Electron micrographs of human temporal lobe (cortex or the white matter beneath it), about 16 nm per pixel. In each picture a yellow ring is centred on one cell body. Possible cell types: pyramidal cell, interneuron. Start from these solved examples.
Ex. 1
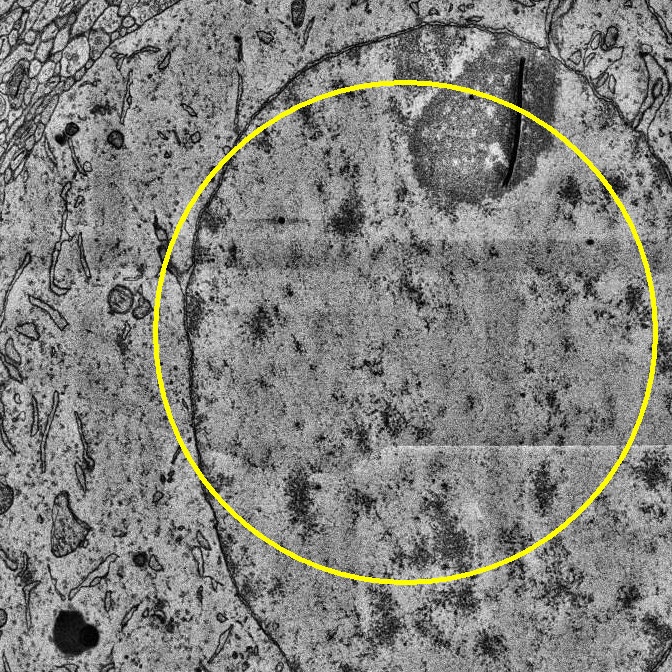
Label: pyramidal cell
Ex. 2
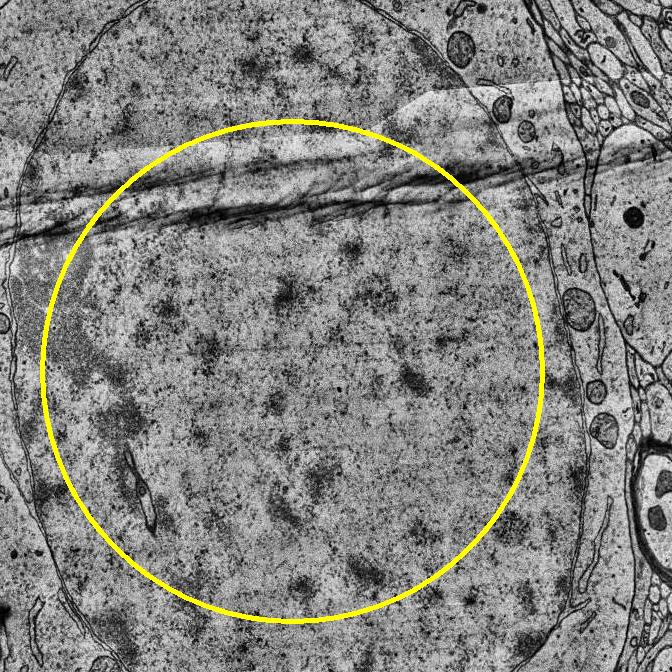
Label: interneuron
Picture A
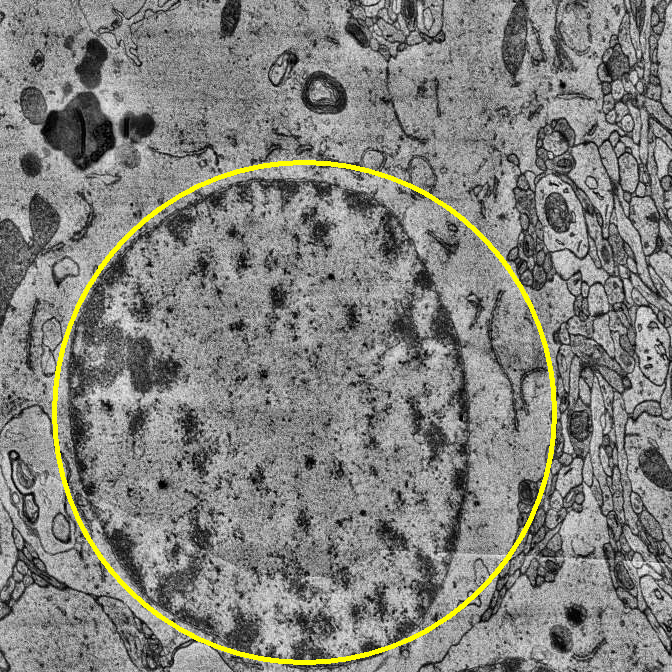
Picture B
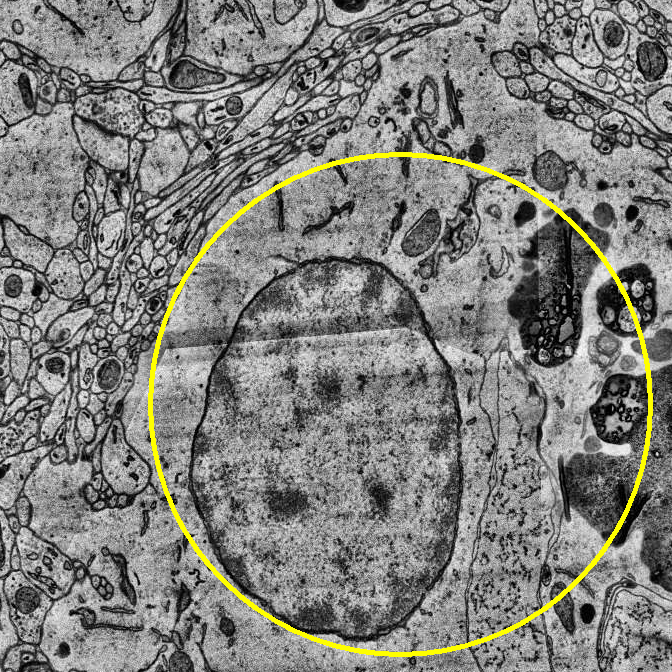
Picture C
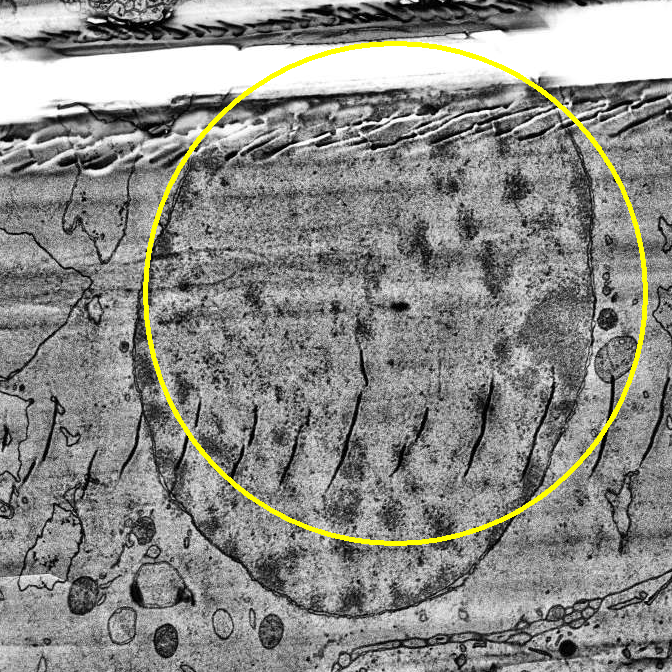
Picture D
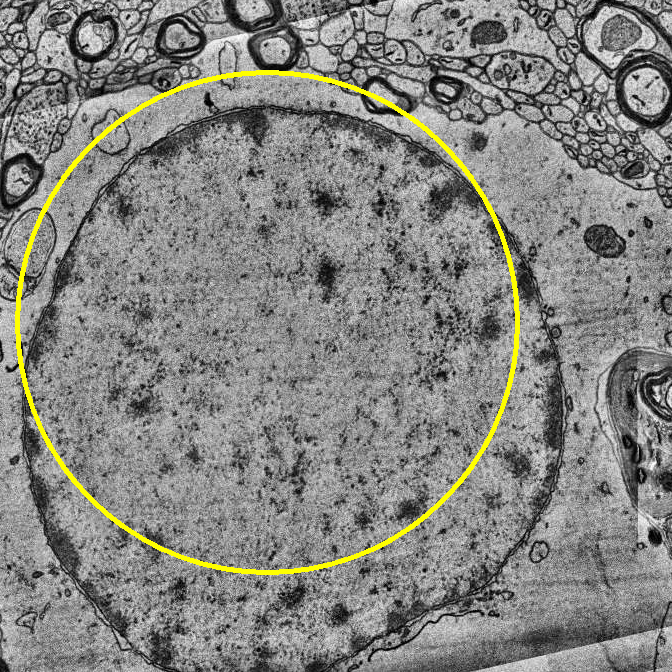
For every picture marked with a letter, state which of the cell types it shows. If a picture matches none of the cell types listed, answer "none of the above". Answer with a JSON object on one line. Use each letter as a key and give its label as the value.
{"A": "none of the above", "B": "none of the above", "C": "none of the above", "D": "none of the above"}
